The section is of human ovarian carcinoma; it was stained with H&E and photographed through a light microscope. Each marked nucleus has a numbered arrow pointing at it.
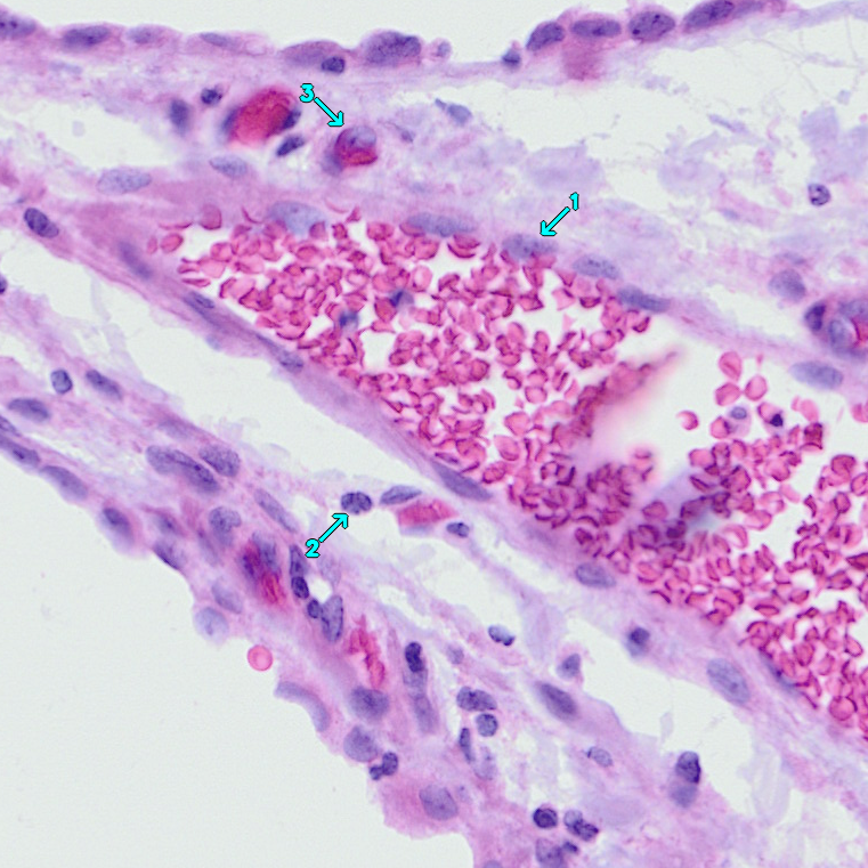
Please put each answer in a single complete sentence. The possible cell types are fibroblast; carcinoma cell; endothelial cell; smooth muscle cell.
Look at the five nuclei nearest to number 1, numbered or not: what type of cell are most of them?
Endothelial cells account for more than half of the five nuclei nearest to number 1.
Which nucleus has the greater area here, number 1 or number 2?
Nucleus 1 is the larger one, covering about 1.5 times the area of nucleus 2.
